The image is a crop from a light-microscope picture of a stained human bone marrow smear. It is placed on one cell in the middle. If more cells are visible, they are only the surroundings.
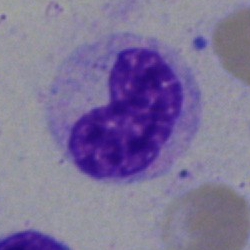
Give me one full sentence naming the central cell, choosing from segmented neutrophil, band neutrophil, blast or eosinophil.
The crop's centre is taken up by a band neutrophil.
